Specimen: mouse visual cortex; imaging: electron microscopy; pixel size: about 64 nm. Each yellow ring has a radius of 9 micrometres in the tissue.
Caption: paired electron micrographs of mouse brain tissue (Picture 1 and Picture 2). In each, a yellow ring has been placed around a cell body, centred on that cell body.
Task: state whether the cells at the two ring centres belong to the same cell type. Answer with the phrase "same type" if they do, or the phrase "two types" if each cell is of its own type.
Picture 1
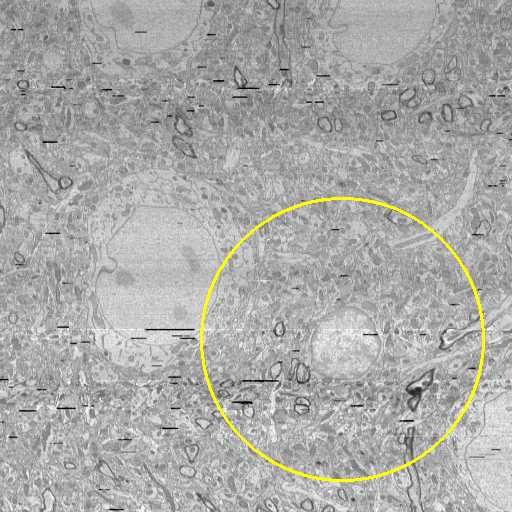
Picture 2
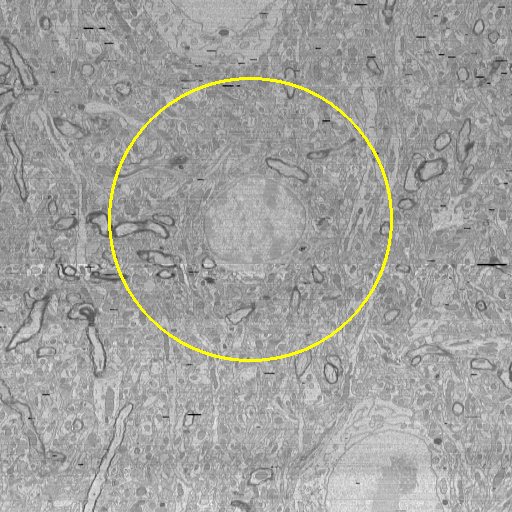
same type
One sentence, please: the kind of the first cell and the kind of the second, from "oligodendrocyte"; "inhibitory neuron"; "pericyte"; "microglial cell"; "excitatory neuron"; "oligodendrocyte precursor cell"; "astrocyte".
Each of the two cells is an oligodendrocyte.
